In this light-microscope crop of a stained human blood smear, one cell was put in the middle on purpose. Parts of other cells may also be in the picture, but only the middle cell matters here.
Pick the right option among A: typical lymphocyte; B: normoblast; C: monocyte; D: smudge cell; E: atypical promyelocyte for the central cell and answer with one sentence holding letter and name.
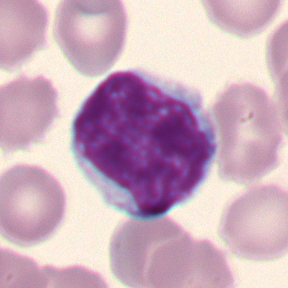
The cell in the middle is a typical lymphocyte, and so option A is correct.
